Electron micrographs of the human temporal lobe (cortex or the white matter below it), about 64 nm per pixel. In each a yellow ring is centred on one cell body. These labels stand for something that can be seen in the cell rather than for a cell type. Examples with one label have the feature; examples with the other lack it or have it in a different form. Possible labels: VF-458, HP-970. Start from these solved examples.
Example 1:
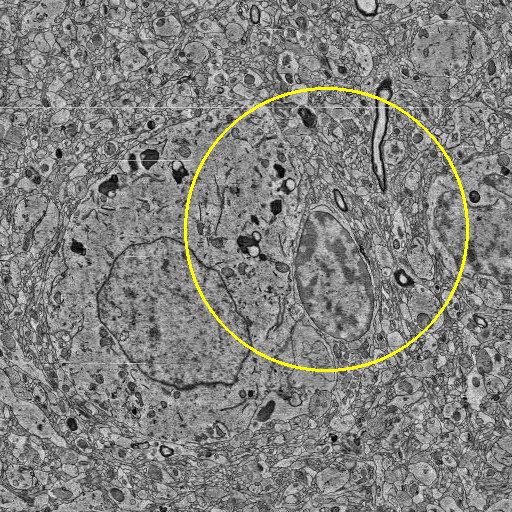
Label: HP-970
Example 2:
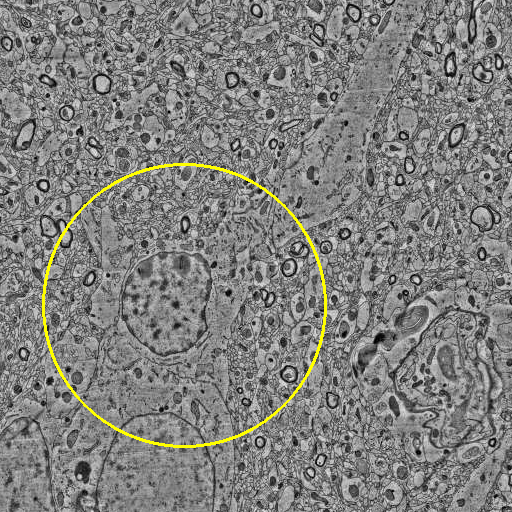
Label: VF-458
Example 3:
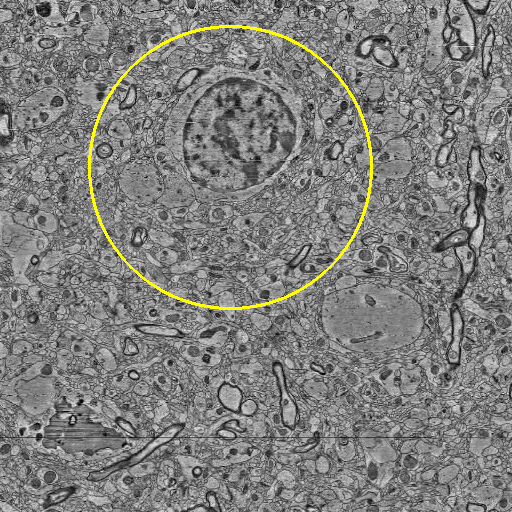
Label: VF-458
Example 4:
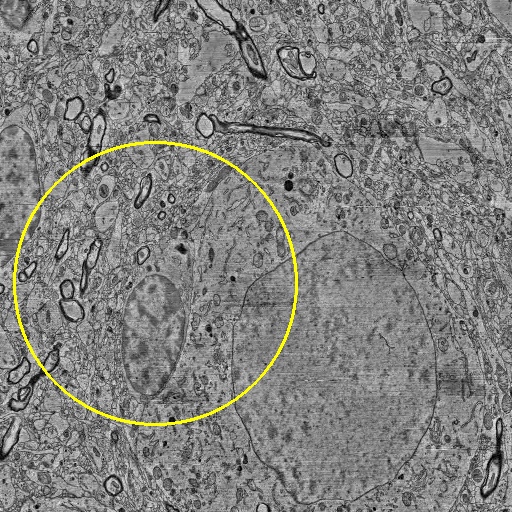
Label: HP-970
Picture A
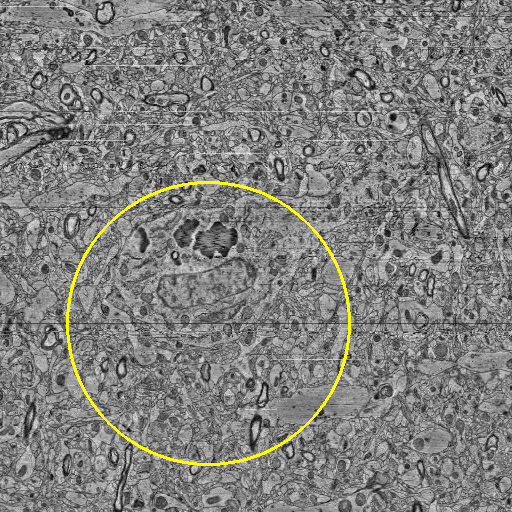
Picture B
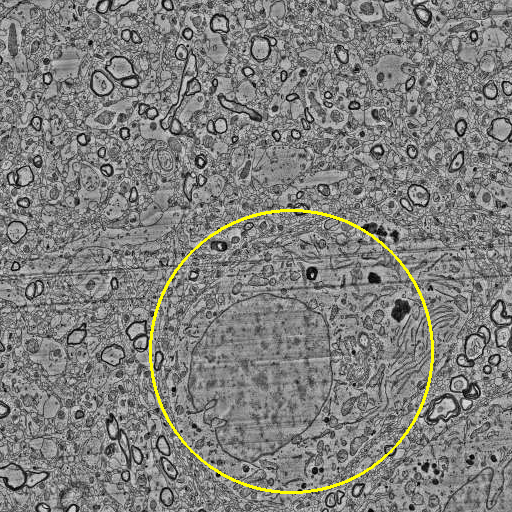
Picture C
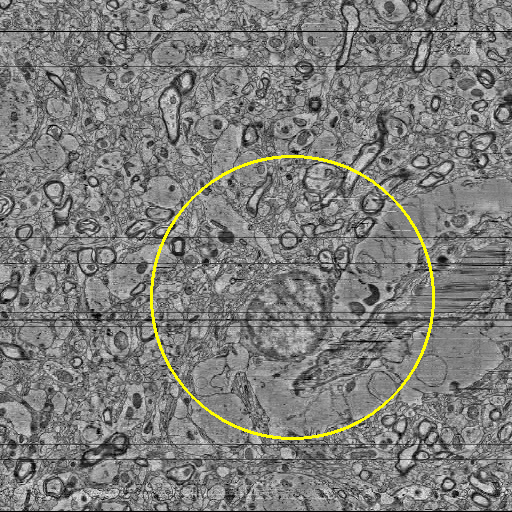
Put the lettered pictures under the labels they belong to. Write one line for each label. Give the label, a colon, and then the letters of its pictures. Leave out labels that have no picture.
VF-458: B, C
HP-970: A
